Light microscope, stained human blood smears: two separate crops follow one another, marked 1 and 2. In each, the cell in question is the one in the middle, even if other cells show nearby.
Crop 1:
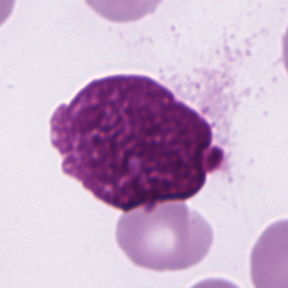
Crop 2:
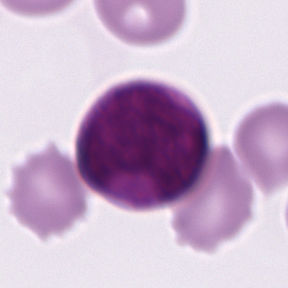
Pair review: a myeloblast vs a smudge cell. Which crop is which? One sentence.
The cell at the middle is a smudge cell in crop 1, but a myeloblast in crop 2.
